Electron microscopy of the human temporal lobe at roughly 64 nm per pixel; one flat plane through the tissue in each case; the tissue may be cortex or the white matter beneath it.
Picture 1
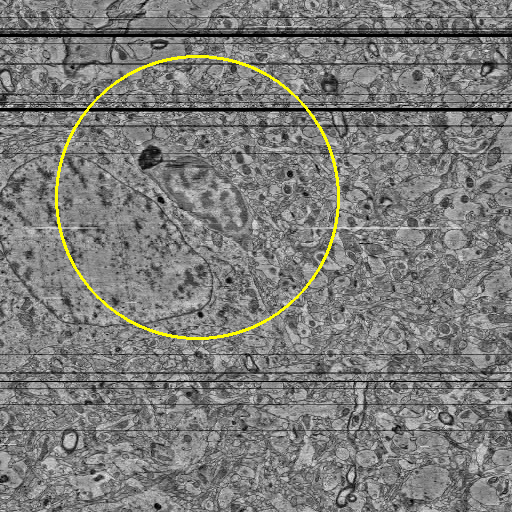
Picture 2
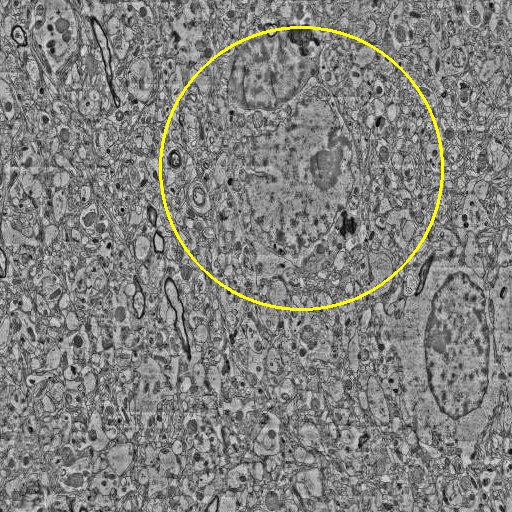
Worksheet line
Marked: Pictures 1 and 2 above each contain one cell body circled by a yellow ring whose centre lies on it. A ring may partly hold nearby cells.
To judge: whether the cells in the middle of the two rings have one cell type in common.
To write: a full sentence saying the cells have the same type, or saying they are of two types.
The cells in the middle of the rings in Picture 1 and Picture 2 are of two types.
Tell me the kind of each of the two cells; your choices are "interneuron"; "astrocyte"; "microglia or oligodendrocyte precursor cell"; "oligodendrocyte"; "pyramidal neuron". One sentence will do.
The ringed cell is an oligodendrocyte in the first picture and an interneuron in the second picture.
